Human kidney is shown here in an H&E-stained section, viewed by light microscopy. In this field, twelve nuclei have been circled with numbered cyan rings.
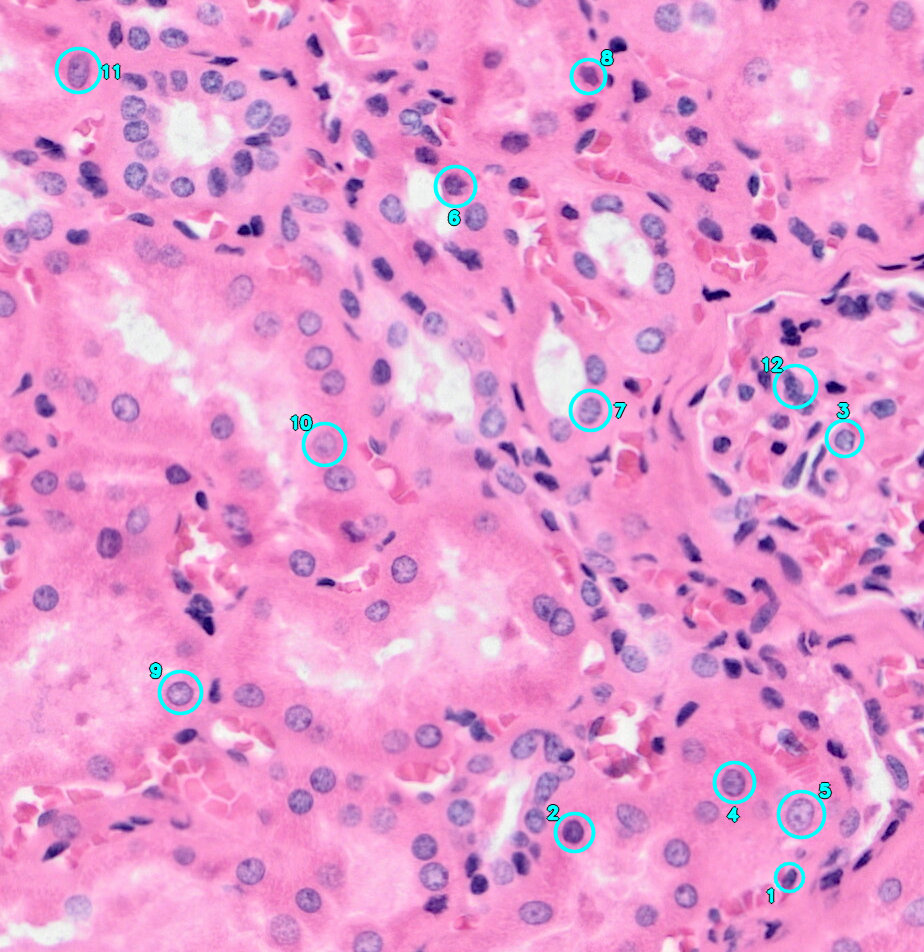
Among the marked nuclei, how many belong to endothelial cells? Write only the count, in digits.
3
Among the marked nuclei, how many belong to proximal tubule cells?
7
